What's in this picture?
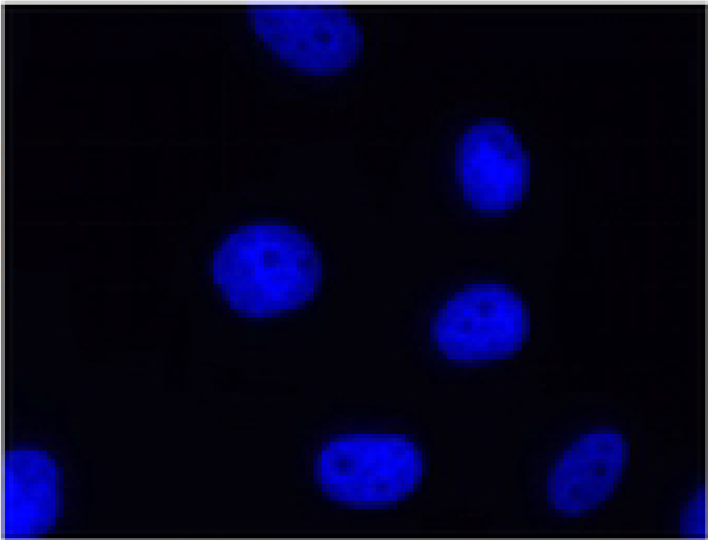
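Only the nuclei shine; the cytoplasm and cell borders are not shown. The nuclei are oval or round, fairly even in size, and lie well apart from one another, so the cells are sparsely spread. Inside each nucleus the blue is not uniform: small darker dots, the nucleoli, stand out against a finely granular chromatin. The outlines are smooth, without breaks or fragments, and none of the nuclei appears shrunken into a small bright dense ball.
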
